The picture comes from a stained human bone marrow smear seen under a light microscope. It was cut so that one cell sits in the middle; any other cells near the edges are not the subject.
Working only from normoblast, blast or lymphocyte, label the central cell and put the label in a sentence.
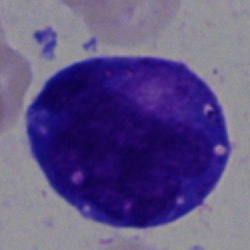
The cell that lies at the centre of the crop is a blast.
